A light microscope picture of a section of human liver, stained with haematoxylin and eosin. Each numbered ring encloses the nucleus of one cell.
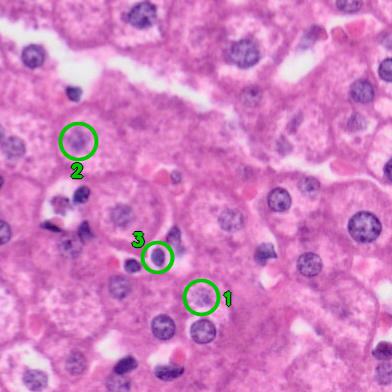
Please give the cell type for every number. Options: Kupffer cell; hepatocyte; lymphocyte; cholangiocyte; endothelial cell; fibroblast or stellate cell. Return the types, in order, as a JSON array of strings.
["hepatocyte", "hepatocyte", "lymphocyte"]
